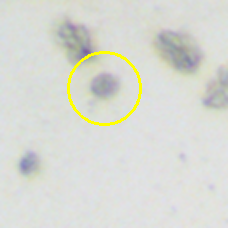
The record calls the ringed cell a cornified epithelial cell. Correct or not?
Not correct; it is a leukocyte.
